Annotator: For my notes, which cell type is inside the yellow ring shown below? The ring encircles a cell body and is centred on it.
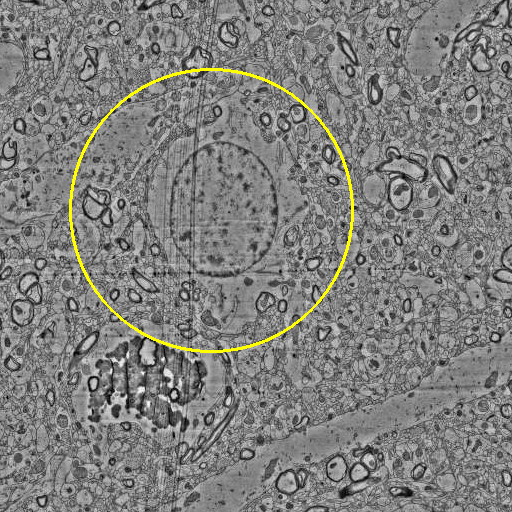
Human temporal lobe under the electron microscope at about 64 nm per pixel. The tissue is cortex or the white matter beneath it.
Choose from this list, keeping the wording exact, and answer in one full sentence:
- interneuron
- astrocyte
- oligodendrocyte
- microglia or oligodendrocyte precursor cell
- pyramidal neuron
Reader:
At the centre of the yellow ring there is an astrocyte, as shown in the picture.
